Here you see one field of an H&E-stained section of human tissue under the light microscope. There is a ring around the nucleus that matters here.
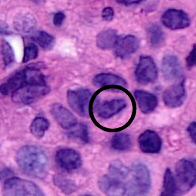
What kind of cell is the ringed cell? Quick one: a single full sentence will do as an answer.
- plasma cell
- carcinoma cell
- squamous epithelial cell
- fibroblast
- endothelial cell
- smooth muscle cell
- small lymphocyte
To be brief about it, the ringed cell is a carcinoma cell.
